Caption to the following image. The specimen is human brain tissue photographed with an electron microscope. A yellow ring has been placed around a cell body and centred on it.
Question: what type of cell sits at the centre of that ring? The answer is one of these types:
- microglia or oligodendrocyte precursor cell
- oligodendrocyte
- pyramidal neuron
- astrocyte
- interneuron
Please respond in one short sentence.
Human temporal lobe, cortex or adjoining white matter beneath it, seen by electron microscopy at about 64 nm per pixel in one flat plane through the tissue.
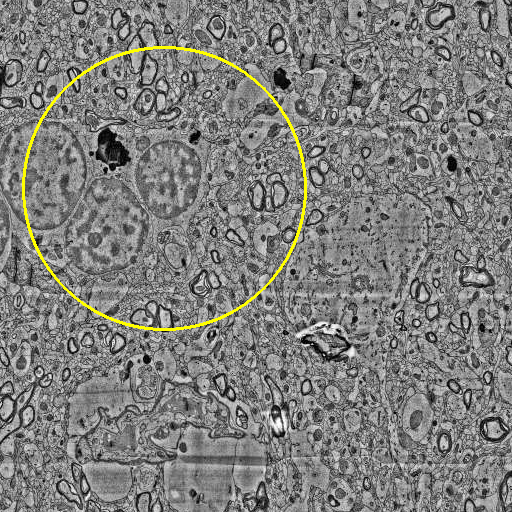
The ring surrounds the cell body of an oligodendrocyte.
